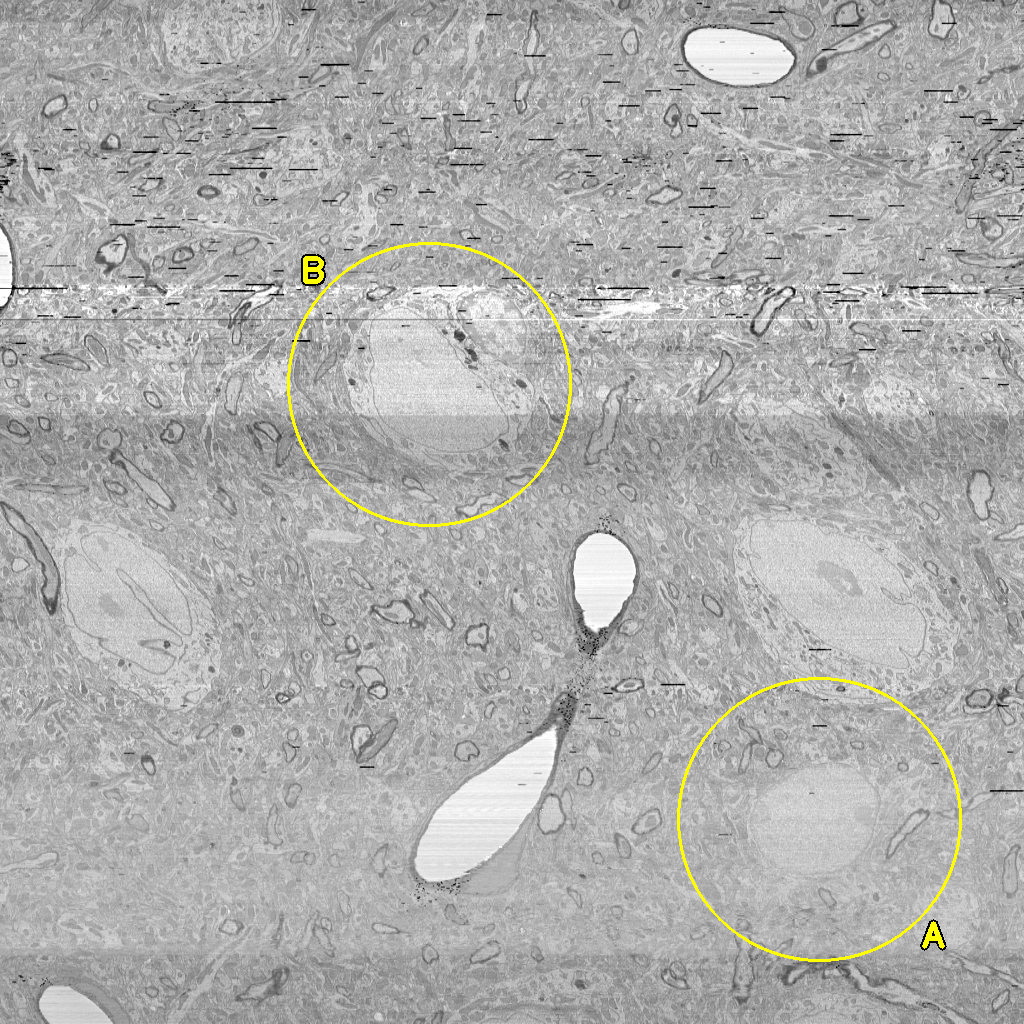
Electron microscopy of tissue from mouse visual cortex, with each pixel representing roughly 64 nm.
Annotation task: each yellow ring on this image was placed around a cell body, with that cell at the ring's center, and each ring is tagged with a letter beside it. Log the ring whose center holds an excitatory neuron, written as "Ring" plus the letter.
Ring B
